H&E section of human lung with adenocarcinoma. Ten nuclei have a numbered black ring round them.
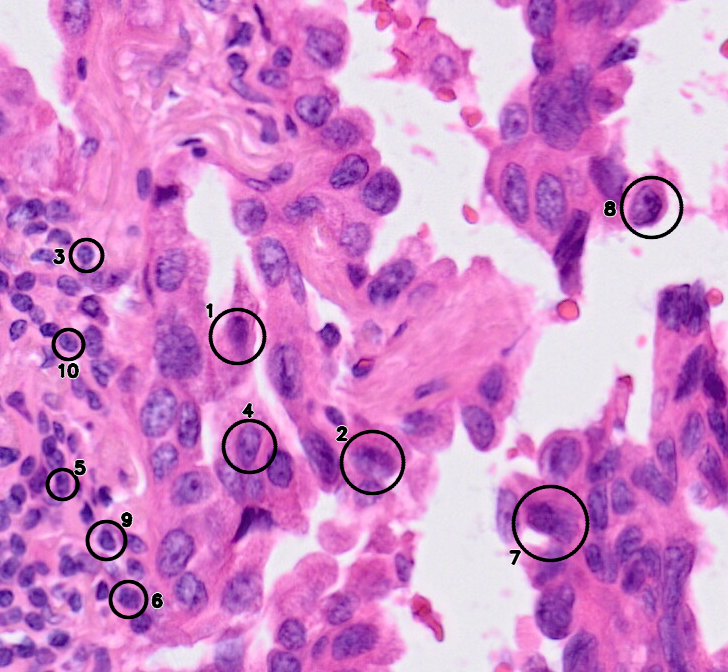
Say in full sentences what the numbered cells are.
Cells 1, 2, 4, 7 and 8 are carcinoma cells. Cells 3, 5, 6, 9 and 10 are lymphocytes.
